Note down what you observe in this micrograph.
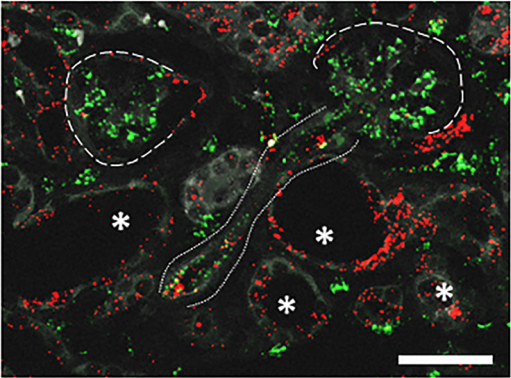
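Injured kidney cortex in which many tubules are dilated, with wide empty lumens and thin, flattened epithelial rims; few round nuclei are clear. Red dots are abundant in the cells lining these tubules, especially around one large lumen in the centre right. At the top two rounded tufts are glomeruli, filled with dense clusters of green. A narrow vessel runs diagonally through the middle between them, with red and some yellow dots in its wall. Scattered green clusters also lie in the spaces between tubules, as in peritubular capillaries.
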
